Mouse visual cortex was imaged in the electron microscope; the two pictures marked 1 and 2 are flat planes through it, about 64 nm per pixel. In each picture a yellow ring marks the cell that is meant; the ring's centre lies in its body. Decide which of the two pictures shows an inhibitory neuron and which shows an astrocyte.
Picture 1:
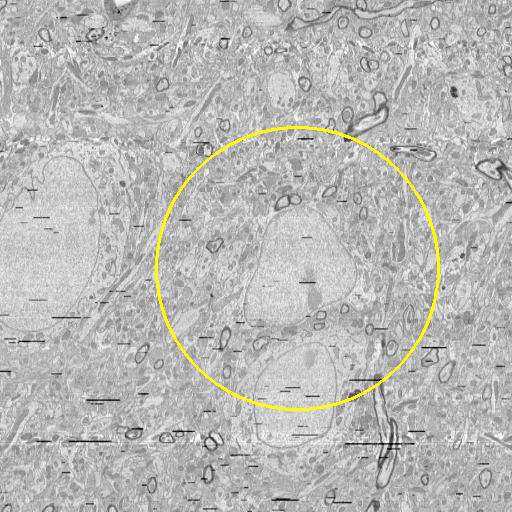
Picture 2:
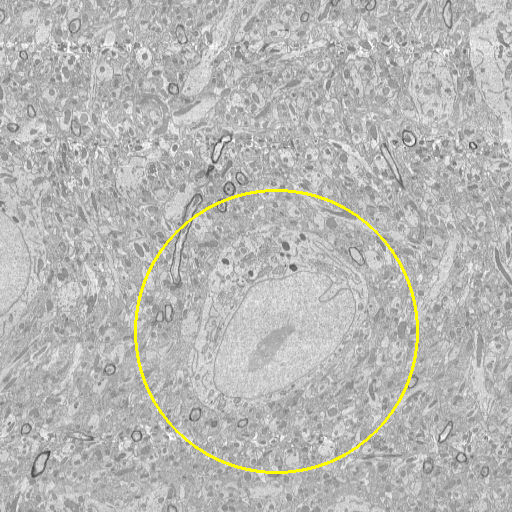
Picture 2 shows an inhibitory neuron, while picture 1 shows an astrocyte.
